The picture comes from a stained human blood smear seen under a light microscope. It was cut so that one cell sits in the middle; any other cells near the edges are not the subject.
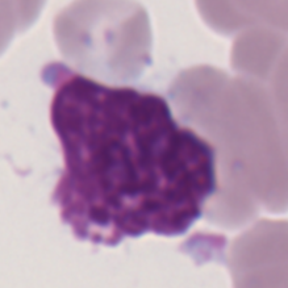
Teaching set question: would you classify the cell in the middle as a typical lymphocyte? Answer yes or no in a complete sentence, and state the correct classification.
No, the central cell is identified not as a typical lymphocyte but as a smudge cell.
